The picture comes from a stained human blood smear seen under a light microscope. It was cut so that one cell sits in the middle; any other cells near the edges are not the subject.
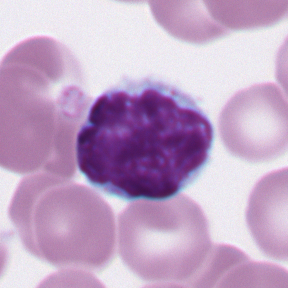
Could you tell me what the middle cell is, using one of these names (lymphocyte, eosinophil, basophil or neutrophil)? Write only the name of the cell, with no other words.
lymphocyte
